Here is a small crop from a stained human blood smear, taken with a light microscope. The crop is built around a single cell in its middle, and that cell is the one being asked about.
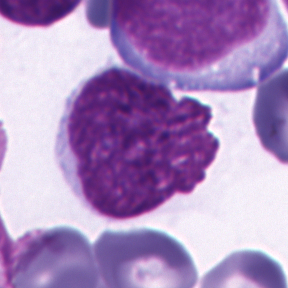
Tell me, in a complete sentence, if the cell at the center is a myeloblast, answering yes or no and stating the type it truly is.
Yes, the cell found at the centre of the crop is a myeloblast.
